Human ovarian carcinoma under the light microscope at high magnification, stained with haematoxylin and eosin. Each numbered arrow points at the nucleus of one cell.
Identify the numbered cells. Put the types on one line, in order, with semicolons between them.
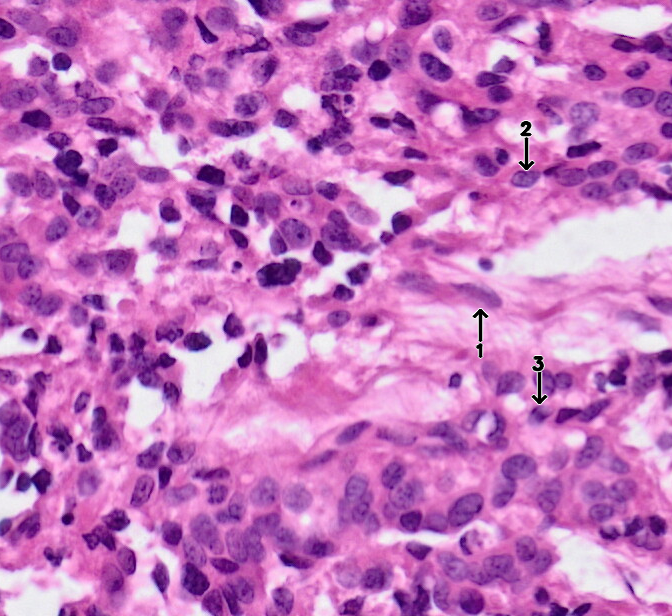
fibroblast; macrophage or monocyte; macrophage or monocyte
